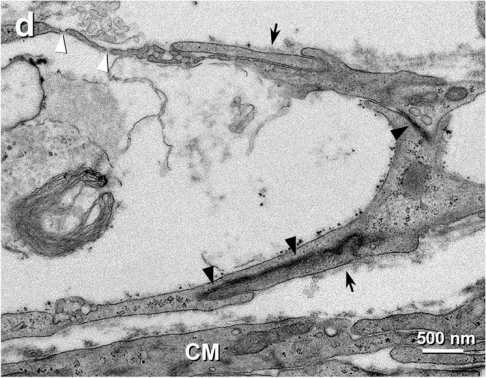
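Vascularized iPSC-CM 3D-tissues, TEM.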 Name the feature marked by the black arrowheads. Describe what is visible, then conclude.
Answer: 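Dense thickenings lie along the membranes where two thin cell processes overlap. That points to this answer: junctional complex.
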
